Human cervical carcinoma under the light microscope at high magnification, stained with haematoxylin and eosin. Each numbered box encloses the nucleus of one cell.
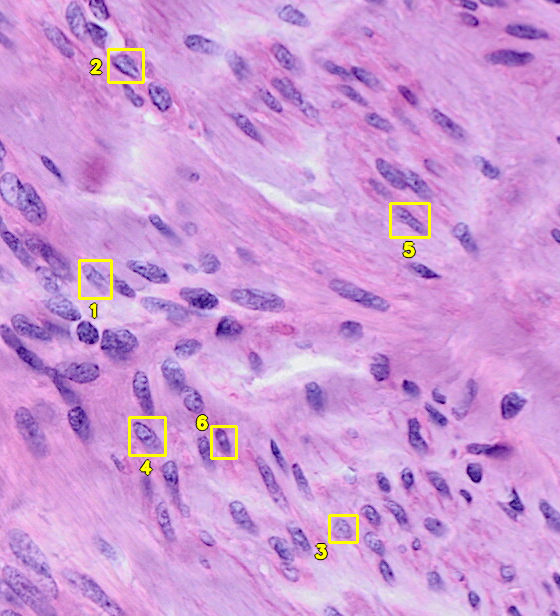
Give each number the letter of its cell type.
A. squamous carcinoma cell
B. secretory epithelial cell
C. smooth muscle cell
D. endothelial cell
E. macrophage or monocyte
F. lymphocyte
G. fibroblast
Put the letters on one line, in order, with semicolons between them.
G; D; C; C; C; C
